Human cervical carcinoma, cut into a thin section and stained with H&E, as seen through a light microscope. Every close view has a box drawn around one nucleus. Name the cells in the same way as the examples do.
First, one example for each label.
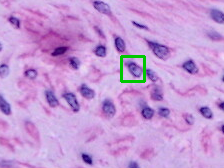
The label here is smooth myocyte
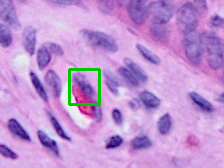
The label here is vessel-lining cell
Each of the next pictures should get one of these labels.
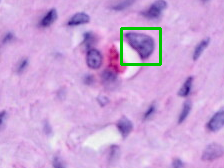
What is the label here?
vessel-lining cell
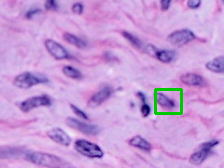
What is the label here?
smooth myocyte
